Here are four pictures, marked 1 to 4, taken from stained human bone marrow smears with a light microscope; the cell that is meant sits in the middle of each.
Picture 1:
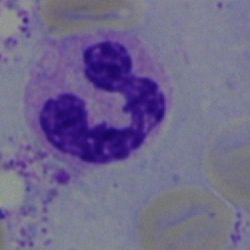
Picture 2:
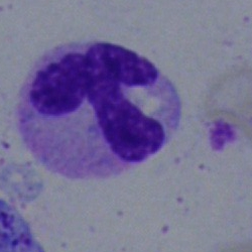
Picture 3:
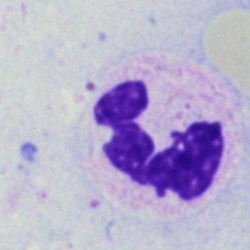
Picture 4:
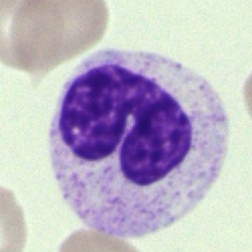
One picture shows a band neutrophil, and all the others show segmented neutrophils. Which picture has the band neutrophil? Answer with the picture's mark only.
4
